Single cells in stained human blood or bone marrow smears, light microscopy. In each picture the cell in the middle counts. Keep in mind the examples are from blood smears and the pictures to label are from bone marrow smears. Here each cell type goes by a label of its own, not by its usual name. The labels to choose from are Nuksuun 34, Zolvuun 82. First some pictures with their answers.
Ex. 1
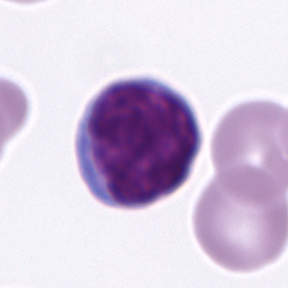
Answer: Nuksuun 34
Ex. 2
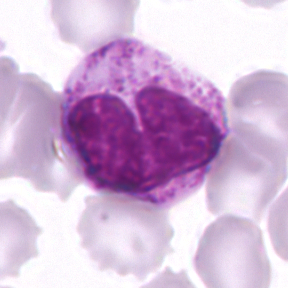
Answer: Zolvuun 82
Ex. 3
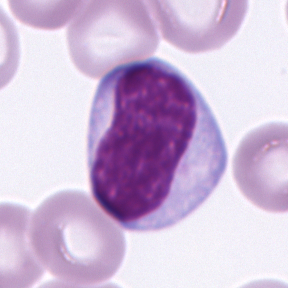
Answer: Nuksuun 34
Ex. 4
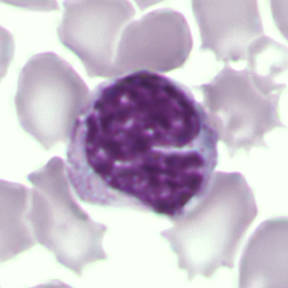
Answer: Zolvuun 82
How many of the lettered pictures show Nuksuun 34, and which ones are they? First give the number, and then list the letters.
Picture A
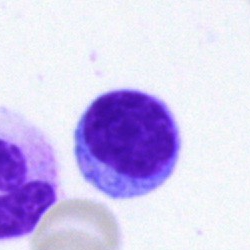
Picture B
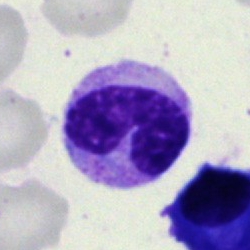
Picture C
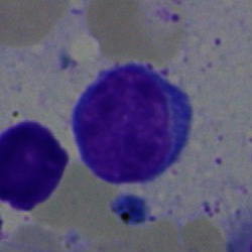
Count: 2 (A, C)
